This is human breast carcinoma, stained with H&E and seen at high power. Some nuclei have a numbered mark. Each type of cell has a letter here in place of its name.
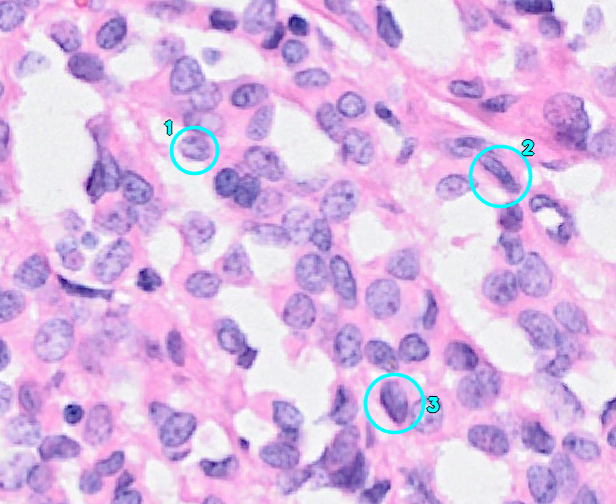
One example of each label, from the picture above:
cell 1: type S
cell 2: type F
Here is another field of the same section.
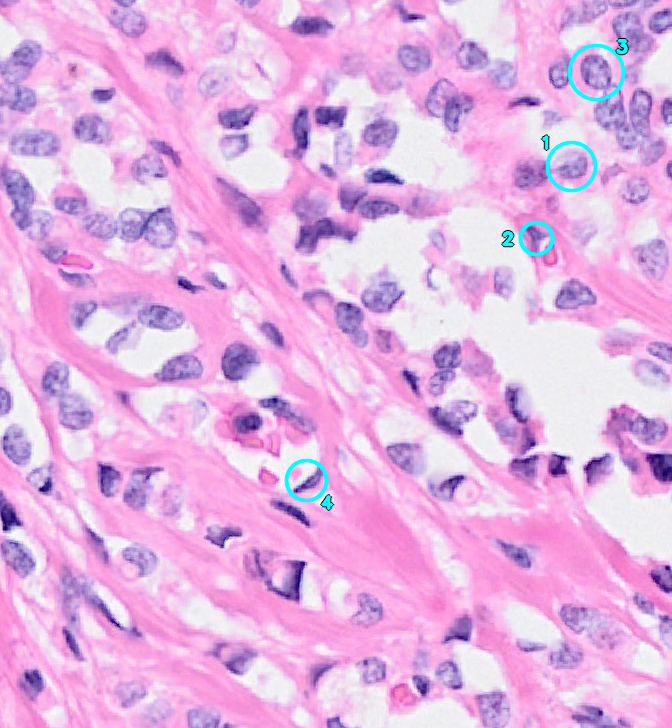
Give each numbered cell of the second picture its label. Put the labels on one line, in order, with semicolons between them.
type S; type F; type S; type F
